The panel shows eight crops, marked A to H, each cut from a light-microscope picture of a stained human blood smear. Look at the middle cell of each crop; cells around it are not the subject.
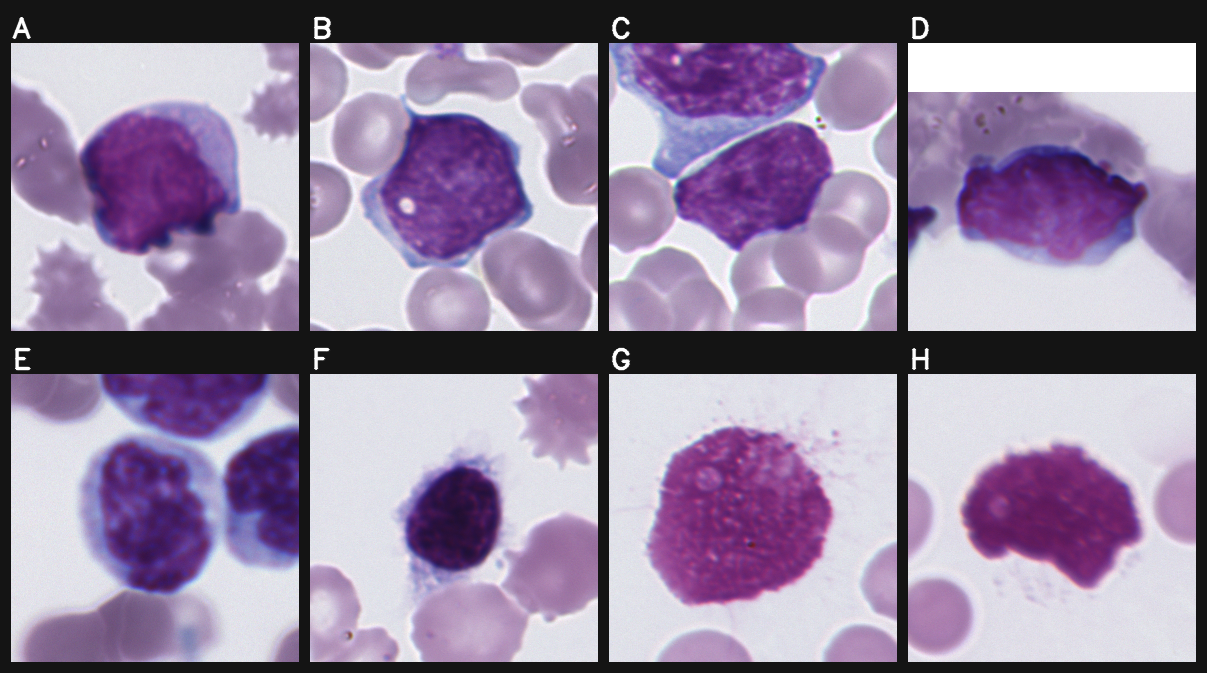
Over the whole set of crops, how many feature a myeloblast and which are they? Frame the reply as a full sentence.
Crops A, B and D, which number three, show myeloblasts.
